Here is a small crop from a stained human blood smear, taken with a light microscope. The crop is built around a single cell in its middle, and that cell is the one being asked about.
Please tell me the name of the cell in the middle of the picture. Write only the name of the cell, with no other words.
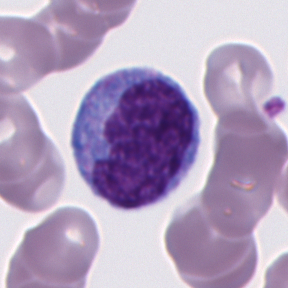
monocyte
